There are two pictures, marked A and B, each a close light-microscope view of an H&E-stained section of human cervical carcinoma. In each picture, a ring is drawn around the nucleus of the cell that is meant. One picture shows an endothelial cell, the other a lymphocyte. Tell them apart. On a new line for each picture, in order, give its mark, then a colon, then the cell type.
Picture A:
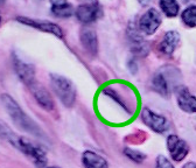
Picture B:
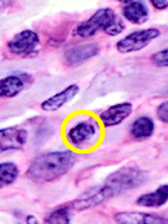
A: endothelial cell
B: lymphocyte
